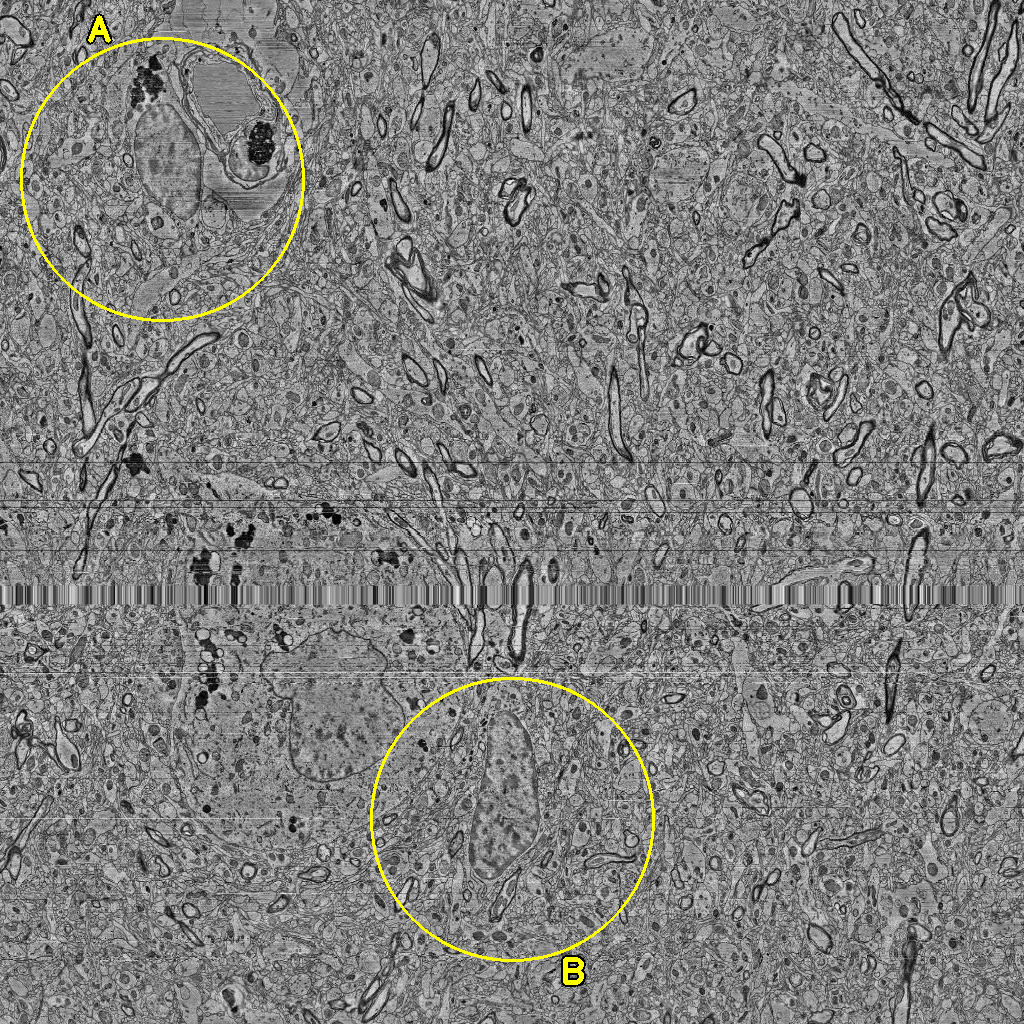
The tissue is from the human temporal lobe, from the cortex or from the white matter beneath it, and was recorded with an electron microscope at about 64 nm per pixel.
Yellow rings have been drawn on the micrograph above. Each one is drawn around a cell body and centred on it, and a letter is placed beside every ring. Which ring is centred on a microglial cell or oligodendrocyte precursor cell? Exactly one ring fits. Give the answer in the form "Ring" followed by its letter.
Ring B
